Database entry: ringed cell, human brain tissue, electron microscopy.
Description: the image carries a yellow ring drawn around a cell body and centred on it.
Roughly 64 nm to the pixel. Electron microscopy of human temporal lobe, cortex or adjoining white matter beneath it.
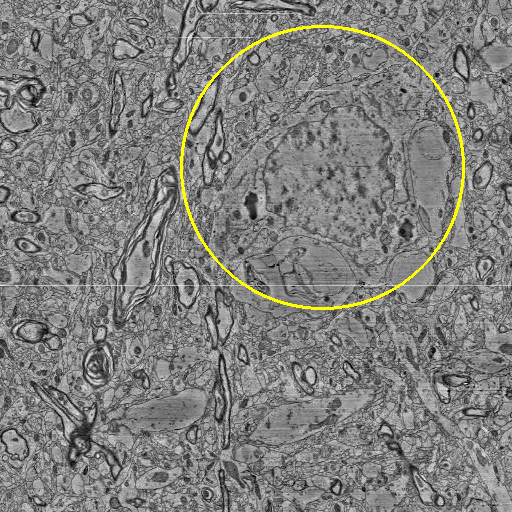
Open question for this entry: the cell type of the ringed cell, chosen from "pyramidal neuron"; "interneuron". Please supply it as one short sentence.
The ringed cell is an interneuron.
